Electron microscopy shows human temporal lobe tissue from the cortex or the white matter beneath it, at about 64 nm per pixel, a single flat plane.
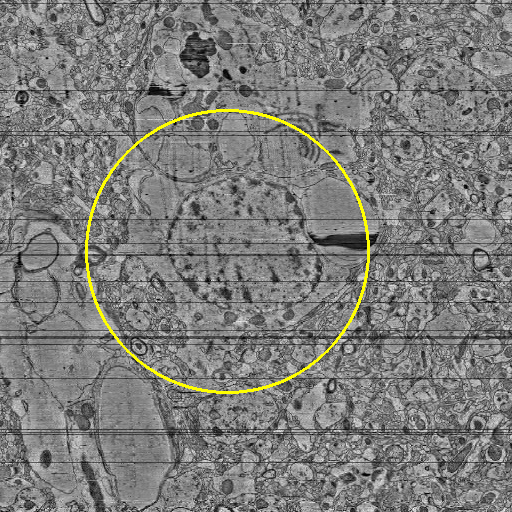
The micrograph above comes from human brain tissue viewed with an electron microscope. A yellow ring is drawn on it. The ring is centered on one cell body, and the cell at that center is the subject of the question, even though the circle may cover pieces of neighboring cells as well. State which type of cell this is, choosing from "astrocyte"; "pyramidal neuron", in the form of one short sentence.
The cell the ring is centered on is an astrocyte.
